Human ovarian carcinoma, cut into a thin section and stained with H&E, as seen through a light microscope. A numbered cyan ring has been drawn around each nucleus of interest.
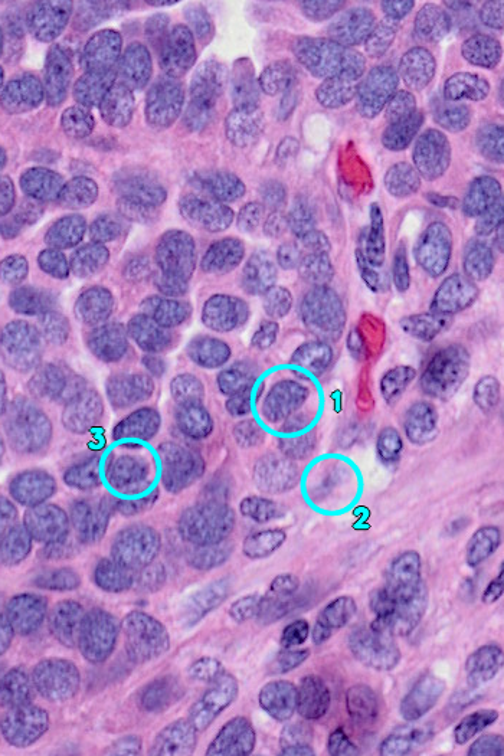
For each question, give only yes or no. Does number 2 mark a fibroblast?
yes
